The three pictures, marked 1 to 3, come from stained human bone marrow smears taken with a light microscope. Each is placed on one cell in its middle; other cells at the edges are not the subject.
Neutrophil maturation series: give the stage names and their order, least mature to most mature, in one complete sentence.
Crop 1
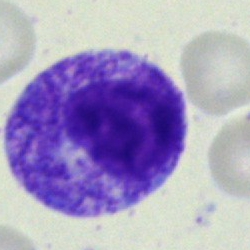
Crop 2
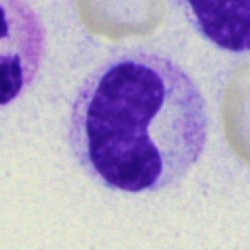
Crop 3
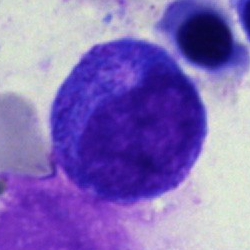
Least to most mature, the crops line up as crop 3 (a promyelocyte), crop 1 (a myelocyte) and crop 2 (a band neutrophil).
